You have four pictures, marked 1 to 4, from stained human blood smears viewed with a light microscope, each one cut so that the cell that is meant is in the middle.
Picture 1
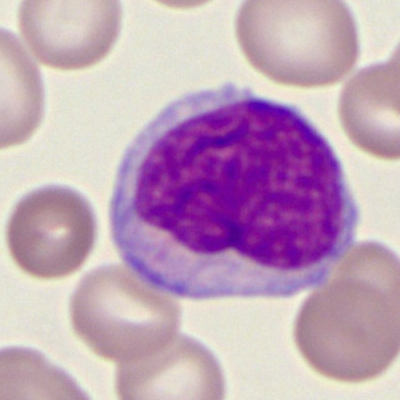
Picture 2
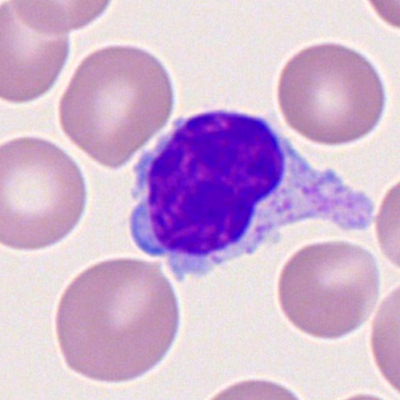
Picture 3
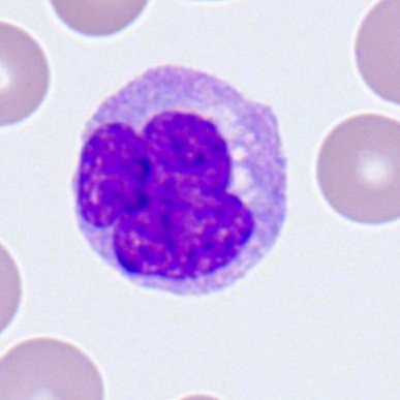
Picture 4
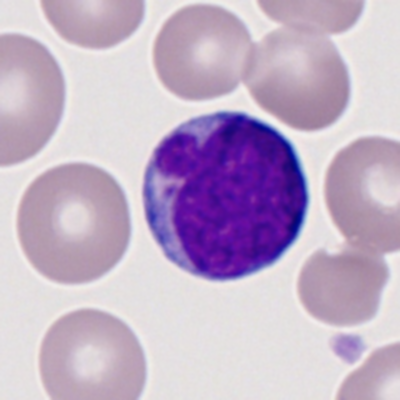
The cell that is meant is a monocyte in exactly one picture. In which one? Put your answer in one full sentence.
The cell in picture 3 is the monocyte.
